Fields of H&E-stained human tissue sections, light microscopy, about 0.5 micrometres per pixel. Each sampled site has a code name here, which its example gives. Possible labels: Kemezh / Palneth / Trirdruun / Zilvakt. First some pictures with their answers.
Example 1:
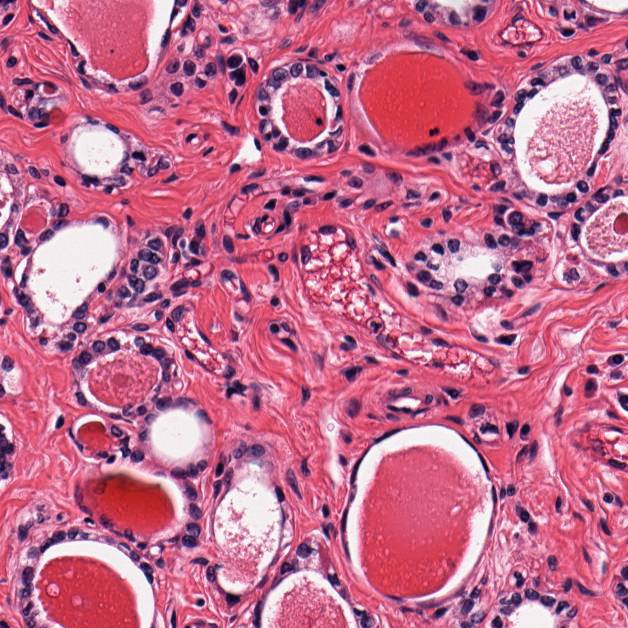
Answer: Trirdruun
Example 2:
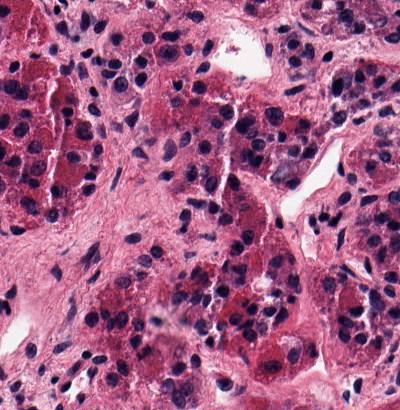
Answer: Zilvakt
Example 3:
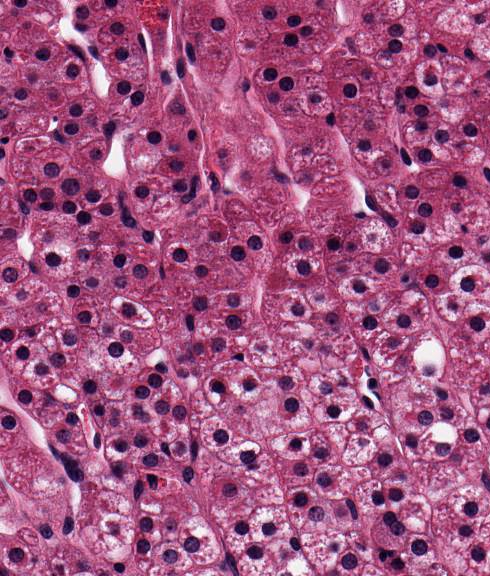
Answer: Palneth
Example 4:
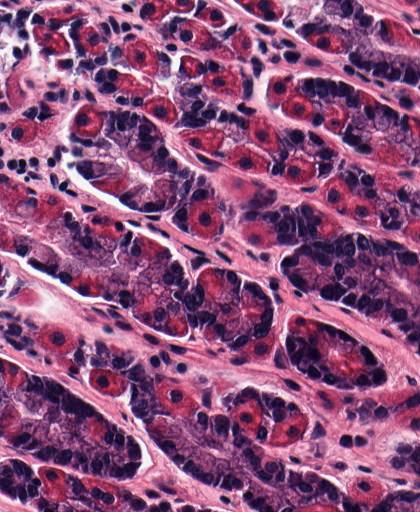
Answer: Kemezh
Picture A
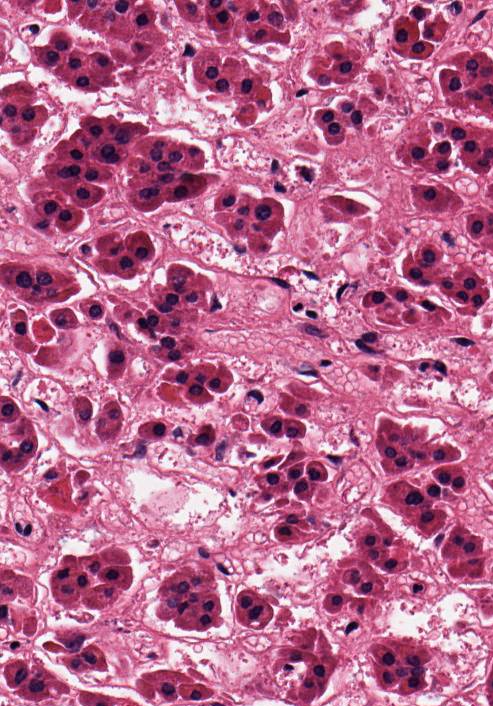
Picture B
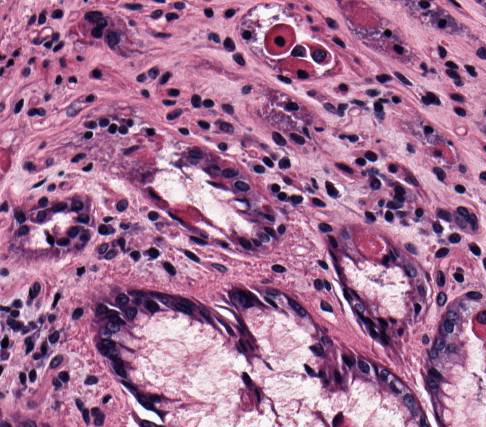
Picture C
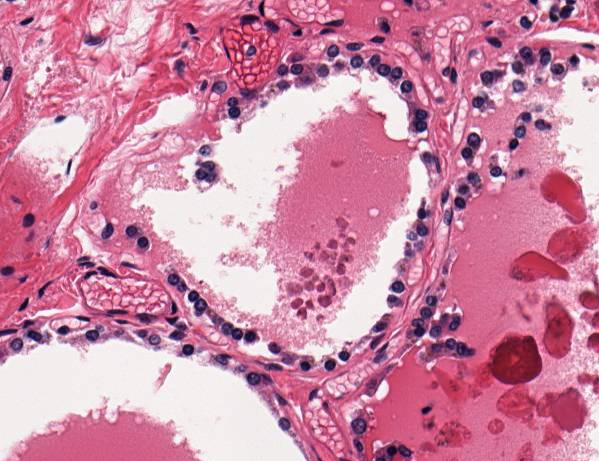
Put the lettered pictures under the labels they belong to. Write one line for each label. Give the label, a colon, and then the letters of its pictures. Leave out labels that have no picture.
Kemezh: B
Palneth: A
Trirdruun: C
